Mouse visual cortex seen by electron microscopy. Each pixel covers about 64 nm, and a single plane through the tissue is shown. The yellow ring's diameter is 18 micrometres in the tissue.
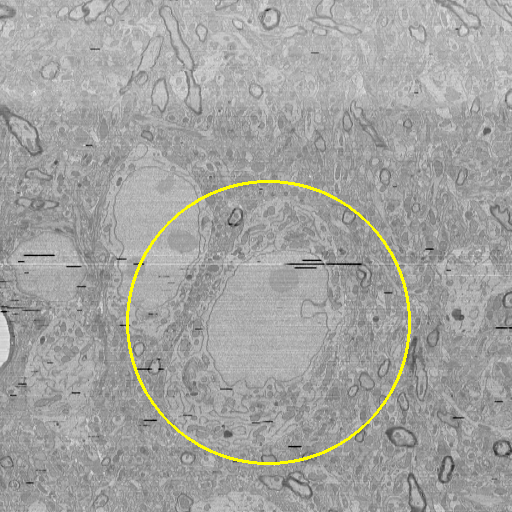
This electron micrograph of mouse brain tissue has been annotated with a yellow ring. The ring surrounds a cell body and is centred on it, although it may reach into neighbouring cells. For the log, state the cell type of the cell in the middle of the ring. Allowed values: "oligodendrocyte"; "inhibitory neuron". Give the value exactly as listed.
inhibitory neuron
